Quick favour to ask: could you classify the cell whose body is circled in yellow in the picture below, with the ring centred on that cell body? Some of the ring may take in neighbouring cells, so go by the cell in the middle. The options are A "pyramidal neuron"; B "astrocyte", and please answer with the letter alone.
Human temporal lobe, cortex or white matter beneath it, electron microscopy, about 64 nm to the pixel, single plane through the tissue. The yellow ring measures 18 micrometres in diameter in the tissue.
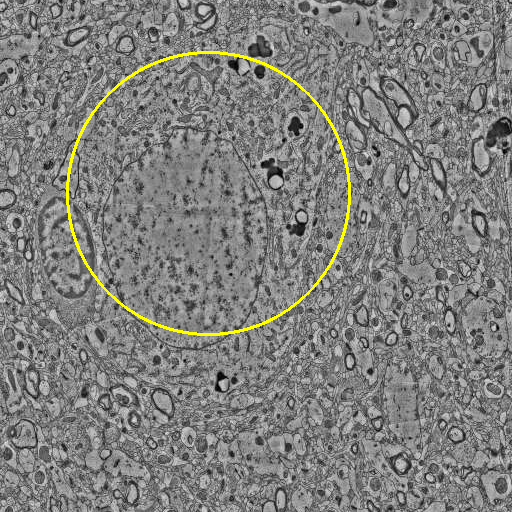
A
